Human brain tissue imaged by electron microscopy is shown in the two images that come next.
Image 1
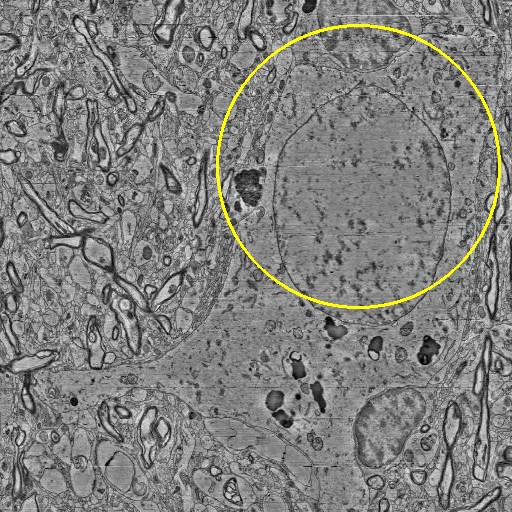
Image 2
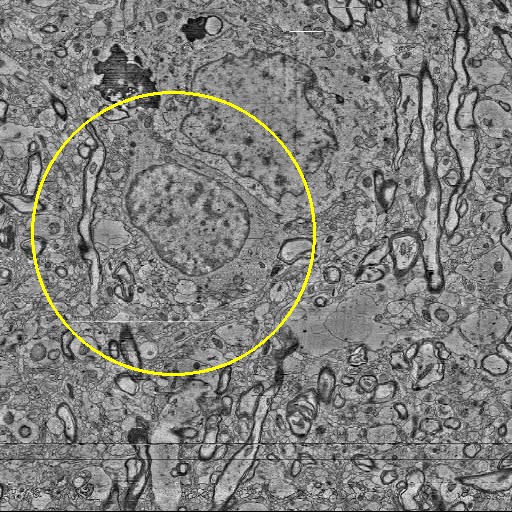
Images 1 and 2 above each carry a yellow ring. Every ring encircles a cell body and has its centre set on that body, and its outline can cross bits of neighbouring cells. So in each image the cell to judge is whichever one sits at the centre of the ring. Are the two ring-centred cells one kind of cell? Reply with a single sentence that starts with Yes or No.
No, in Image 1 and Image 2 the cells at the centres of their rings fall into two types.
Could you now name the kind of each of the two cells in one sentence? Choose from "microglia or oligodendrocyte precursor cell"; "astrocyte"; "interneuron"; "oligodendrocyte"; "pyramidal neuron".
The first ring encloses a pyramidal neuron; the second ring encloses an oligodendrocyte.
